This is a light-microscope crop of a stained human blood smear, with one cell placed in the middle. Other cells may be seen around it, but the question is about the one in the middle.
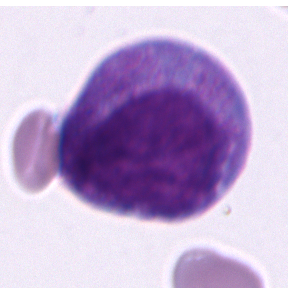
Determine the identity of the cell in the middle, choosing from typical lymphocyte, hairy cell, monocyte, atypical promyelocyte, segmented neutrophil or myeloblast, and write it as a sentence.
The cell sitting right in the middle is an atypical promyelocyte.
